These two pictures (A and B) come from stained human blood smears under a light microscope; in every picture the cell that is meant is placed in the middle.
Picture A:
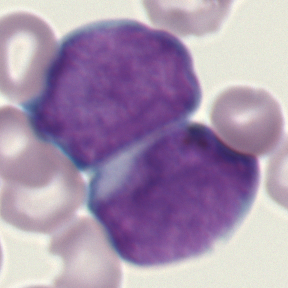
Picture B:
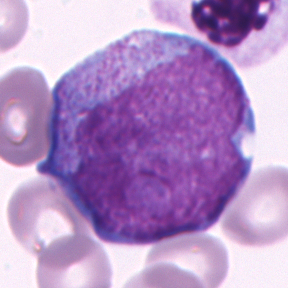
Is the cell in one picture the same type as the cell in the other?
no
